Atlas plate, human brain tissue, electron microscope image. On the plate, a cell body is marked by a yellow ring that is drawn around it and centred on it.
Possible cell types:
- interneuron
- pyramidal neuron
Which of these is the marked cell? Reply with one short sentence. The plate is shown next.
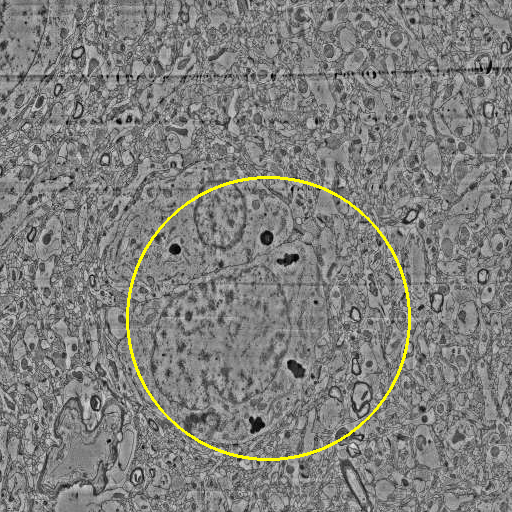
The marked cell is an interneuron.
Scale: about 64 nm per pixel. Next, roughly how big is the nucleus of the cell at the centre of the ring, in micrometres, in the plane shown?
Roughly 11 micrometres by 8 micrometres, in this plane.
